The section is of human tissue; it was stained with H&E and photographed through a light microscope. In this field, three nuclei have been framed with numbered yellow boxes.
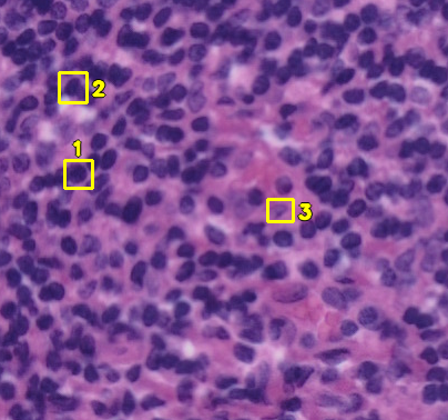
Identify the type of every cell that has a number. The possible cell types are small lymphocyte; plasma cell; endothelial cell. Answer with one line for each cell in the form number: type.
1: small lymphocyte
2: small lymphocyte
3: endothelial cell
